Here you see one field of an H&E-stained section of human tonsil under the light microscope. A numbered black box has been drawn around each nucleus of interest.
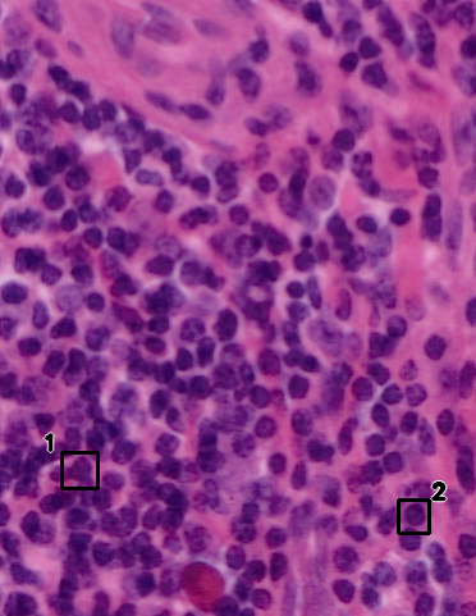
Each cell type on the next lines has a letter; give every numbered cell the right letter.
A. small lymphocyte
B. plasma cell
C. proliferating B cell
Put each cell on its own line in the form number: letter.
1: A
2: B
